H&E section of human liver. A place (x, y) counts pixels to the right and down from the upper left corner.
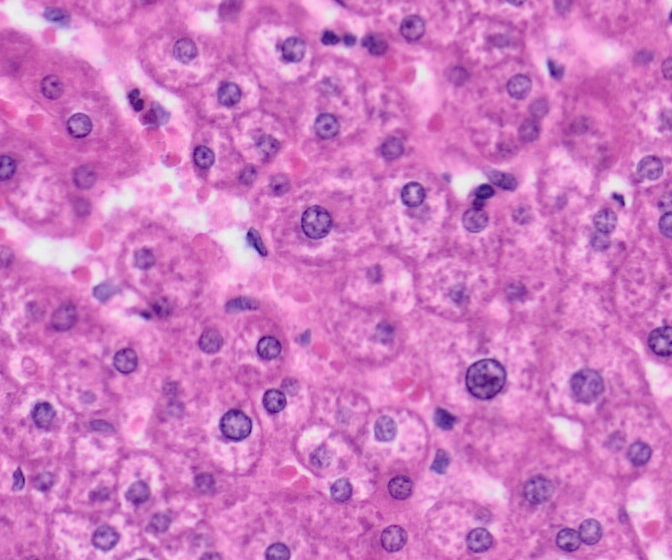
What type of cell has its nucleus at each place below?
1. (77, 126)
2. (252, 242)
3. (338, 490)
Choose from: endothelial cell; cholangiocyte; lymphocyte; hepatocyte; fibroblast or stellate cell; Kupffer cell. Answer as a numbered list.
1. hepatocyte
2. endothelial cell
3. hepatocyte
